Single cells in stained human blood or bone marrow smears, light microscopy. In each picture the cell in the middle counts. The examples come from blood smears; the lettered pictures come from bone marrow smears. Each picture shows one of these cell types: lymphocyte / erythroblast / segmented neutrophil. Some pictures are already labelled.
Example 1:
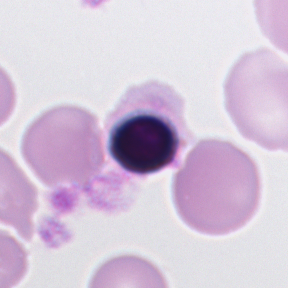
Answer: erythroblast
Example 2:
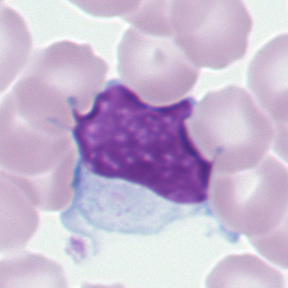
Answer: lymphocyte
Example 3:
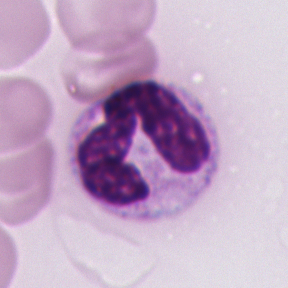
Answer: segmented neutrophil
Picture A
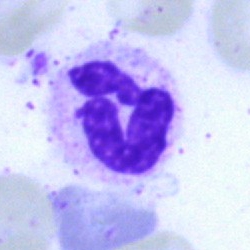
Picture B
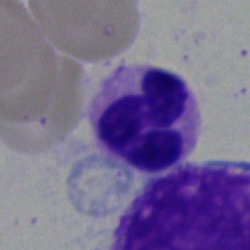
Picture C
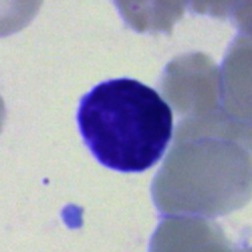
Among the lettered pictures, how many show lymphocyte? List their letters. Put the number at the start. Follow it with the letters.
Count: 1 (C)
